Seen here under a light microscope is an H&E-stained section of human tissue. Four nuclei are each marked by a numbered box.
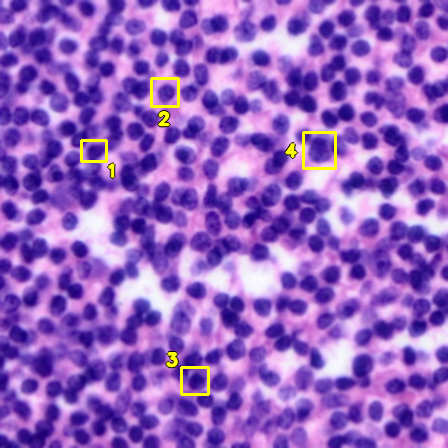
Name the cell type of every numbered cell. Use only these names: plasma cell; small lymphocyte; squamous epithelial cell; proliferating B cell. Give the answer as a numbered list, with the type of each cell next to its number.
1. small lymphocyte
2. small lymphocyte
3. small lymphocyte
4. proliferating B cell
